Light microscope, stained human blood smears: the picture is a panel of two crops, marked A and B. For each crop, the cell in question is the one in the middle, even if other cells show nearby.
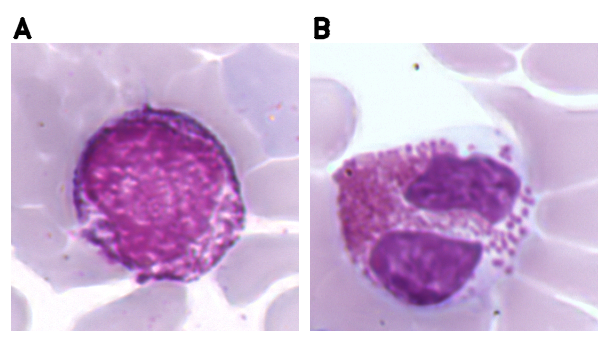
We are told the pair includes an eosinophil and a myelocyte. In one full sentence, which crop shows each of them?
Crop A contains a myelocyte, and crop B contains an eosinophil.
